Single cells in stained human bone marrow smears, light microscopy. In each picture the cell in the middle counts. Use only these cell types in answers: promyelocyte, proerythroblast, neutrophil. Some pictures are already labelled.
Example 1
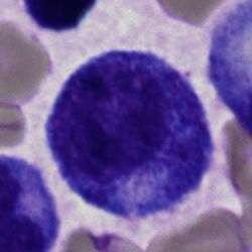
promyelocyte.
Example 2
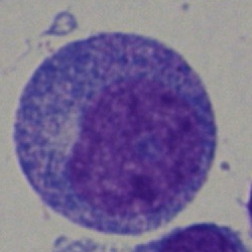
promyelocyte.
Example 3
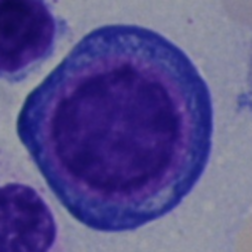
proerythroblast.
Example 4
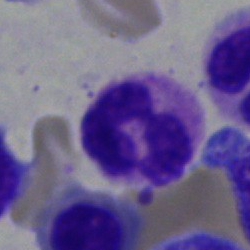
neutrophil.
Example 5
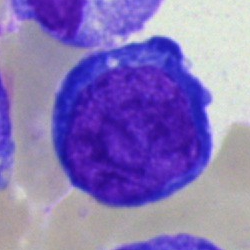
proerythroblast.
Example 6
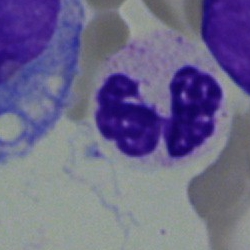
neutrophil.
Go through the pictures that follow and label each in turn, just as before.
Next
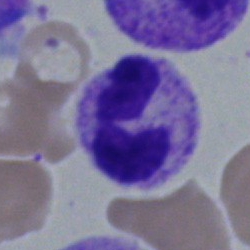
neutrophil.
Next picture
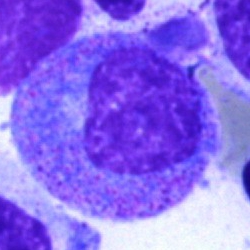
promyelocyte.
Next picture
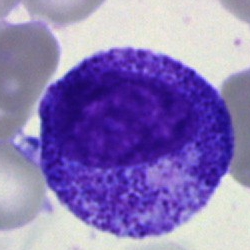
promyelocyte.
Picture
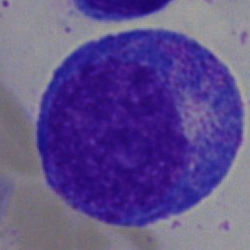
promyelocyte.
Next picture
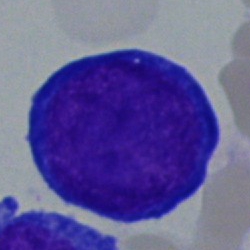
proerythroblast.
